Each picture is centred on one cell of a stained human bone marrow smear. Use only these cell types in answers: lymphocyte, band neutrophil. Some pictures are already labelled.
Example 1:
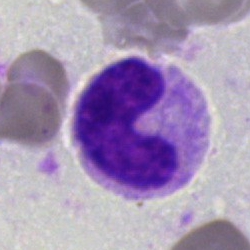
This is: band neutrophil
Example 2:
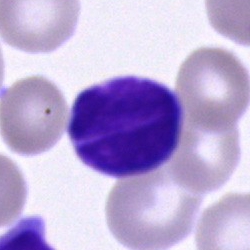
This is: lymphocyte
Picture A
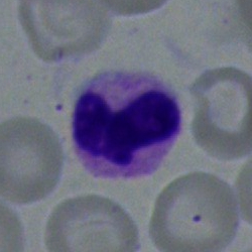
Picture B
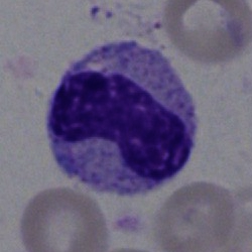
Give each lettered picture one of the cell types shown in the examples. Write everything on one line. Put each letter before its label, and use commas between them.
A band neutrophil, B band neutrophil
